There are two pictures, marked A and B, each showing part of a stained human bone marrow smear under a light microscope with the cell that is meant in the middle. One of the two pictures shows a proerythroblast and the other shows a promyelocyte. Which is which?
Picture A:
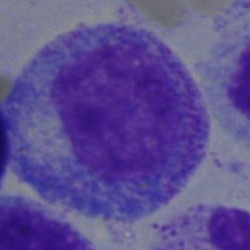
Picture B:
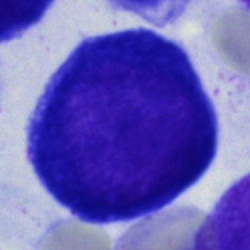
A: promyelocyte
B: proerythroblast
